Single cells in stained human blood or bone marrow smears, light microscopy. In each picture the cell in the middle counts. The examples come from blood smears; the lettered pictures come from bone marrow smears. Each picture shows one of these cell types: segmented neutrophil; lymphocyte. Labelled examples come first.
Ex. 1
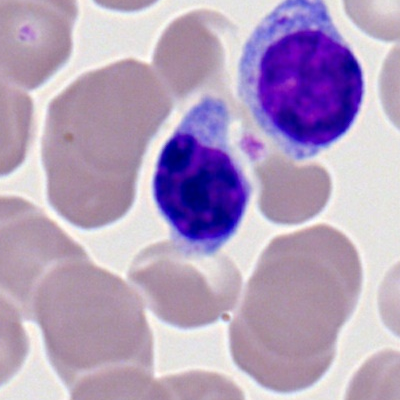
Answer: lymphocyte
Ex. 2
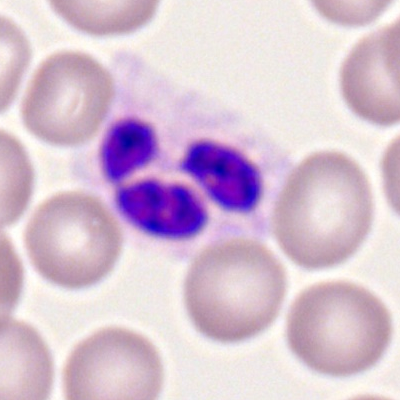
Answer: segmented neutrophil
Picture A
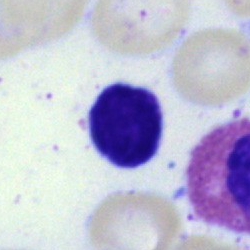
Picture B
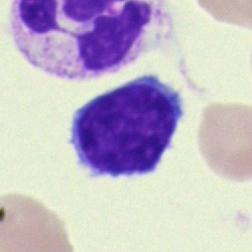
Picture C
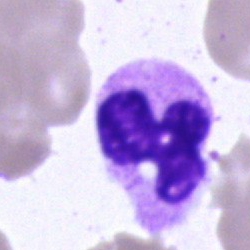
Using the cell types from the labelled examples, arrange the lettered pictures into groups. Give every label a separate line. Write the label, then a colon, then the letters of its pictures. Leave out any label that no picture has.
segmented neutrophil: C
lymphocyte: A, B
